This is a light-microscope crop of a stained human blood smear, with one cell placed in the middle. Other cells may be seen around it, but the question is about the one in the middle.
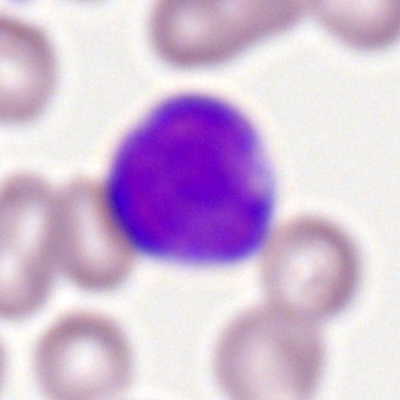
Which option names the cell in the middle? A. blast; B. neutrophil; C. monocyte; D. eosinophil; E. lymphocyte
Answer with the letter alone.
A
